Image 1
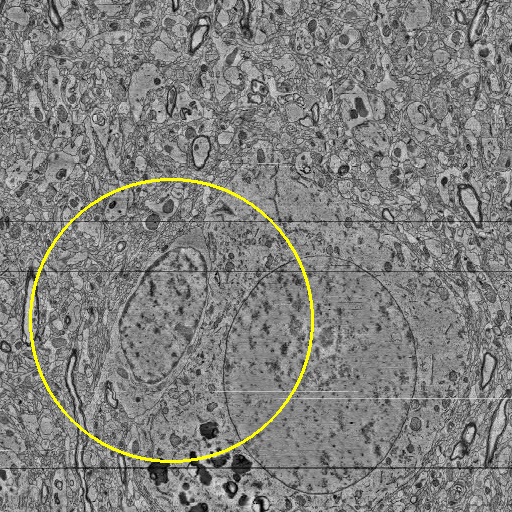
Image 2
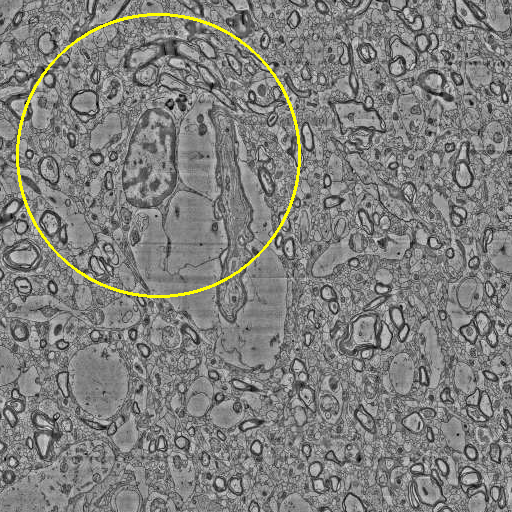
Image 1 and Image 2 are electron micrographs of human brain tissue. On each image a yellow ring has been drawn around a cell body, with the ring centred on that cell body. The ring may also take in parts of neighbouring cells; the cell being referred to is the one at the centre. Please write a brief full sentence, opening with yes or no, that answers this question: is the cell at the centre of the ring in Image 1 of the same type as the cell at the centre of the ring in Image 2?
Yes, both cells are of the same type.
